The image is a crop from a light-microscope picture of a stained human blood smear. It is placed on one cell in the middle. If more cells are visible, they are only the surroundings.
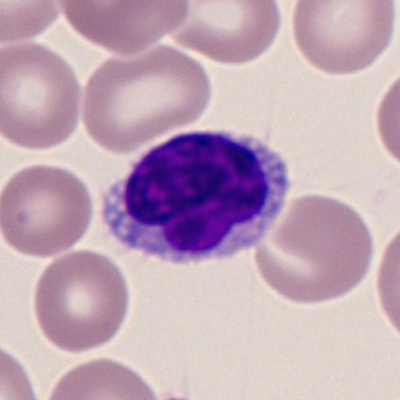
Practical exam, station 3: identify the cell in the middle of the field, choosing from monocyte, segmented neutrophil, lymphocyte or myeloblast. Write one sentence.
The cell found in the middle of this crop is a lymphocyte.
